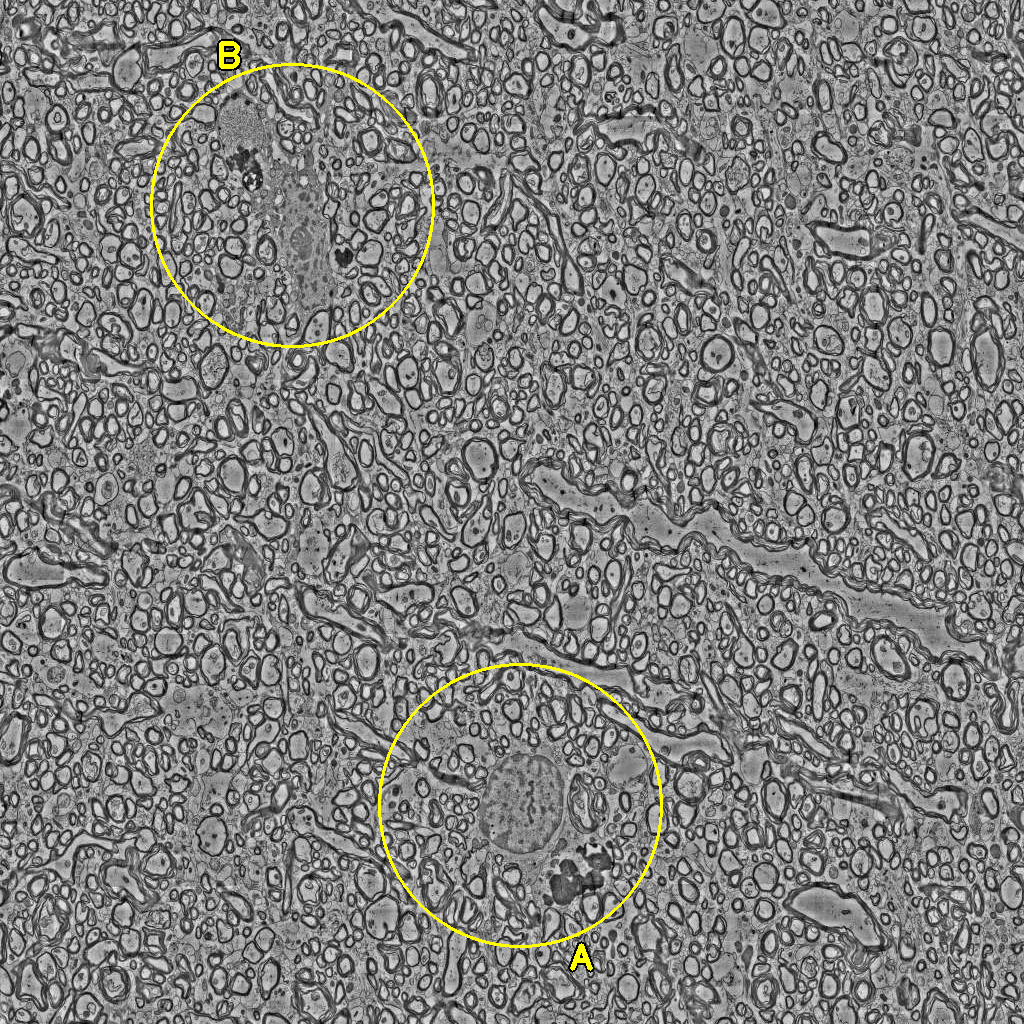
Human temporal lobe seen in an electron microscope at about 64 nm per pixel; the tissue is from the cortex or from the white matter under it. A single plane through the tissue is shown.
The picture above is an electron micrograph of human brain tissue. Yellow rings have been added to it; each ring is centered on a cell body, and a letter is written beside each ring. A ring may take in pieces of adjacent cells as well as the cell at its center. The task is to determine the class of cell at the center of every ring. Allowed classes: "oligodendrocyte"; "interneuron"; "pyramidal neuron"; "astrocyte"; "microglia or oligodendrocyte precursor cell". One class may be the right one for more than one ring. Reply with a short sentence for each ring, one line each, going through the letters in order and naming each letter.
Ring A is centered on an oligodendrocyte.
Ring B is centered on an astrocyte.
